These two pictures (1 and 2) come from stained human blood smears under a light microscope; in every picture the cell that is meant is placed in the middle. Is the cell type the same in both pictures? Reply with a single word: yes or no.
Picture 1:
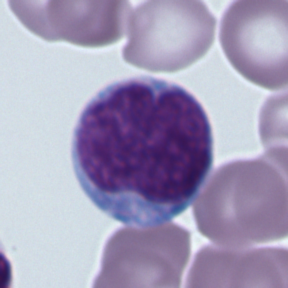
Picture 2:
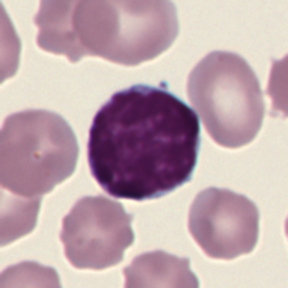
no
